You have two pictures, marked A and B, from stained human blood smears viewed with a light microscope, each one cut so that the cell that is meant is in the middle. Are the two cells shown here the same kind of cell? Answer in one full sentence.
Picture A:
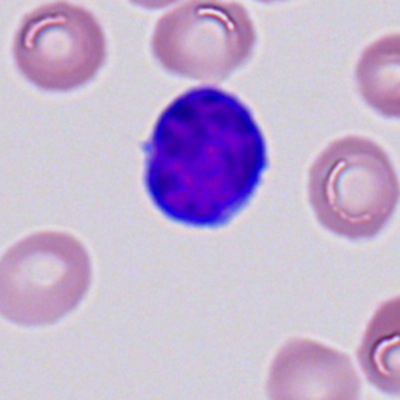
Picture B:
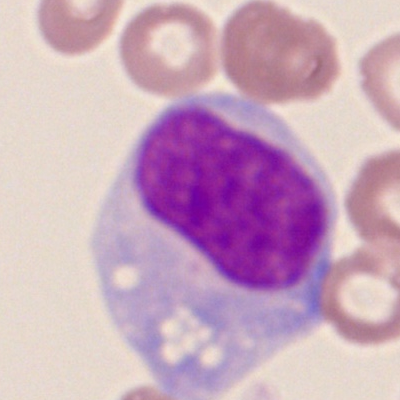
No, they differ: the cell is a lymphocyte in picture A and a monocyte in picture B.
